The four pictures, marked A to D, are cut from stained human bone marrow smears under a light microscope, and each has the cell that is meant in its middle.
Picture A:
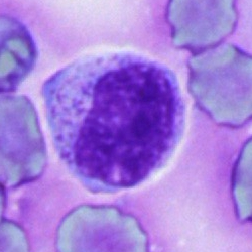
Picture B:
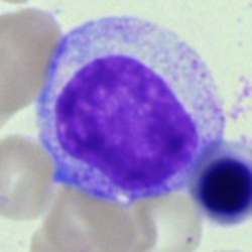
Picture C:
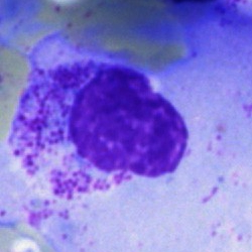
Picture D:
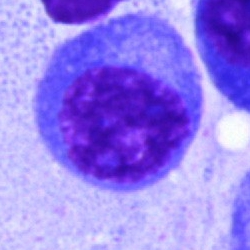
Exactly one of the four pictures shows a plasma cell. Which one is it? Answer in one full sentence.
Picture D shows the plasma cell.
